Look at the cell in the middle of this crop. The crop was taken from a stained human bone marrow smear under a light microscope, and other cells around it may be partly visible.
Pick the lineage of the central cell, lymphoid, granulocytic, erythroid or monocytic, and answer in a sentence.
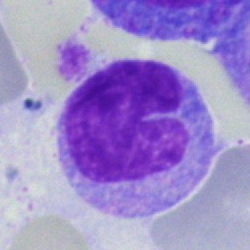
In terms of lineage, the cell in the middle is monocytic.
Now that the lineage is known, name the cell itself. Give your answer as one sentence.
The cell of interest, in the center, is a monocyte.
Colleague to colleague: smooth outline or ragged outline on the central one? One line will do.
There are no projections here; the outline is simply smooth.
